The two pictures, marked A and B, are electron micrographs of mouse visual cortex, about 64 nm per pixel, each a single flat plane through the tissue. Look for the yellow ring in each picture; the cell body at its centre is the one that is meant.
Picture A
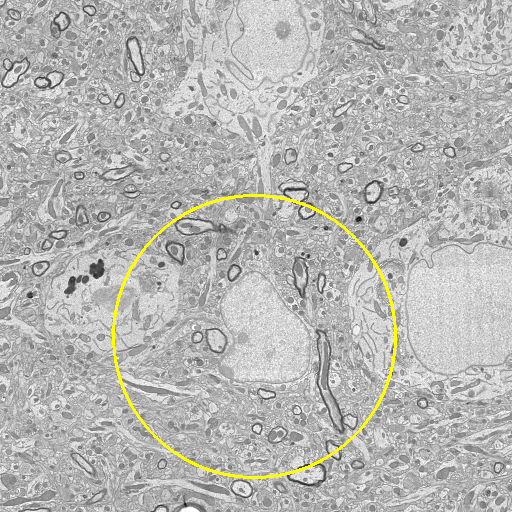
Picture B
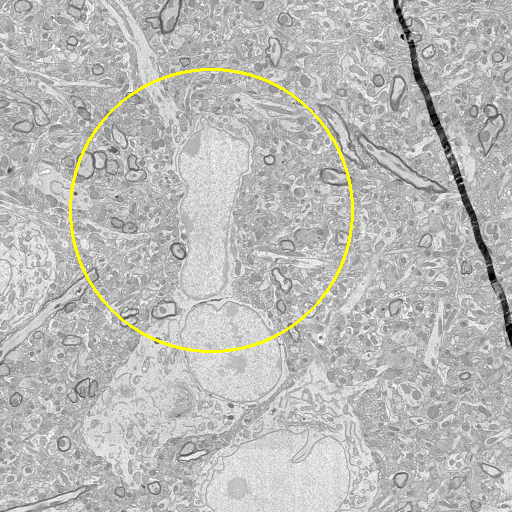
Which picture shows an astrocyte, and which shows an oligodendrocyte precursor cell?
In picture A the cell is an astrocyte; in picture B, an oligodendrocyte precursor cell.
